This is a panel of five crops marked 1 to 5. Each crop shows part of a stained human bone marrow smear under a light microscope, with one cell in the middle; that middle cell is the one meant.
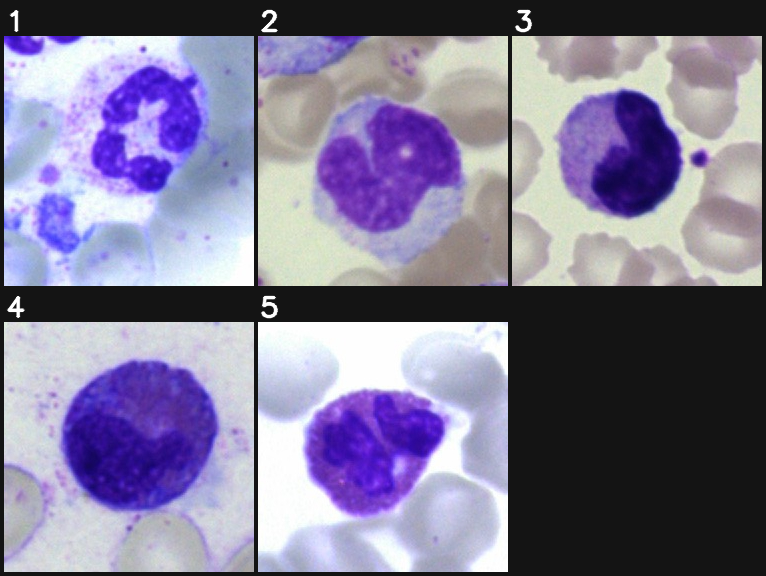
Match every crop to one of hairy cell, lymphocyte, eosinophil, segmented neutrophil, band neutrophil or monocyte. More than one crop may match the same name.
1: segmented neutrophil
2: monocyte
3: band neutrophil
4: eosinophil
5: eosinophil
